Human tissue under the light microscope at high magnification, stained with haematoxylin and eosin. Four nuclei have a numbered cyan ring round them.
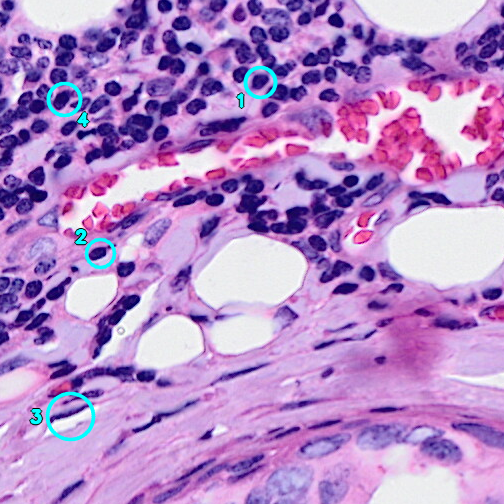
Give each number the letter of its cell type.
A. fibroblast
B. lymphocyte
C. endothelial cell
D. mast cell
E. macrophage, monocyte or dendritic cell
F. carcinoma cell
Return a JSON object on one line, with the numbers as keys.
{"1": "B", "2": "B", "3": "A", "4": "B"}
